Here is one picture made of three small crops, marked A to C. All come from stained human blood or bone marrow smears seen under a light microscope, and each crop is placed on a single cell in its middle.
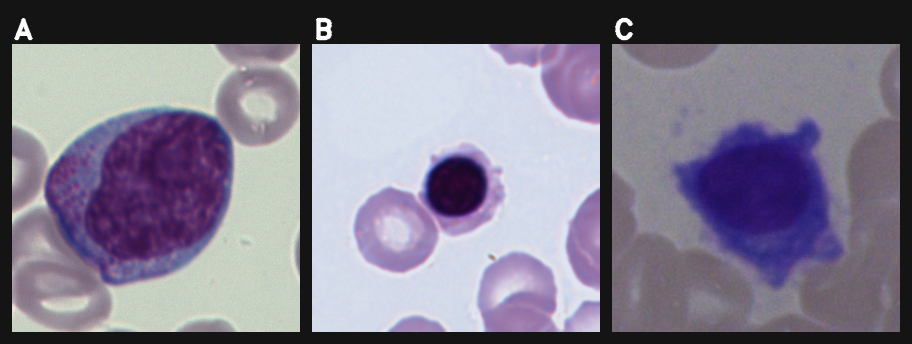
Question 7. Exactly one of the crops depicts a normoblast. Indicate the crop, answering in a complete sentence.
The requested cell, a normoblast, is the one in crop B.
